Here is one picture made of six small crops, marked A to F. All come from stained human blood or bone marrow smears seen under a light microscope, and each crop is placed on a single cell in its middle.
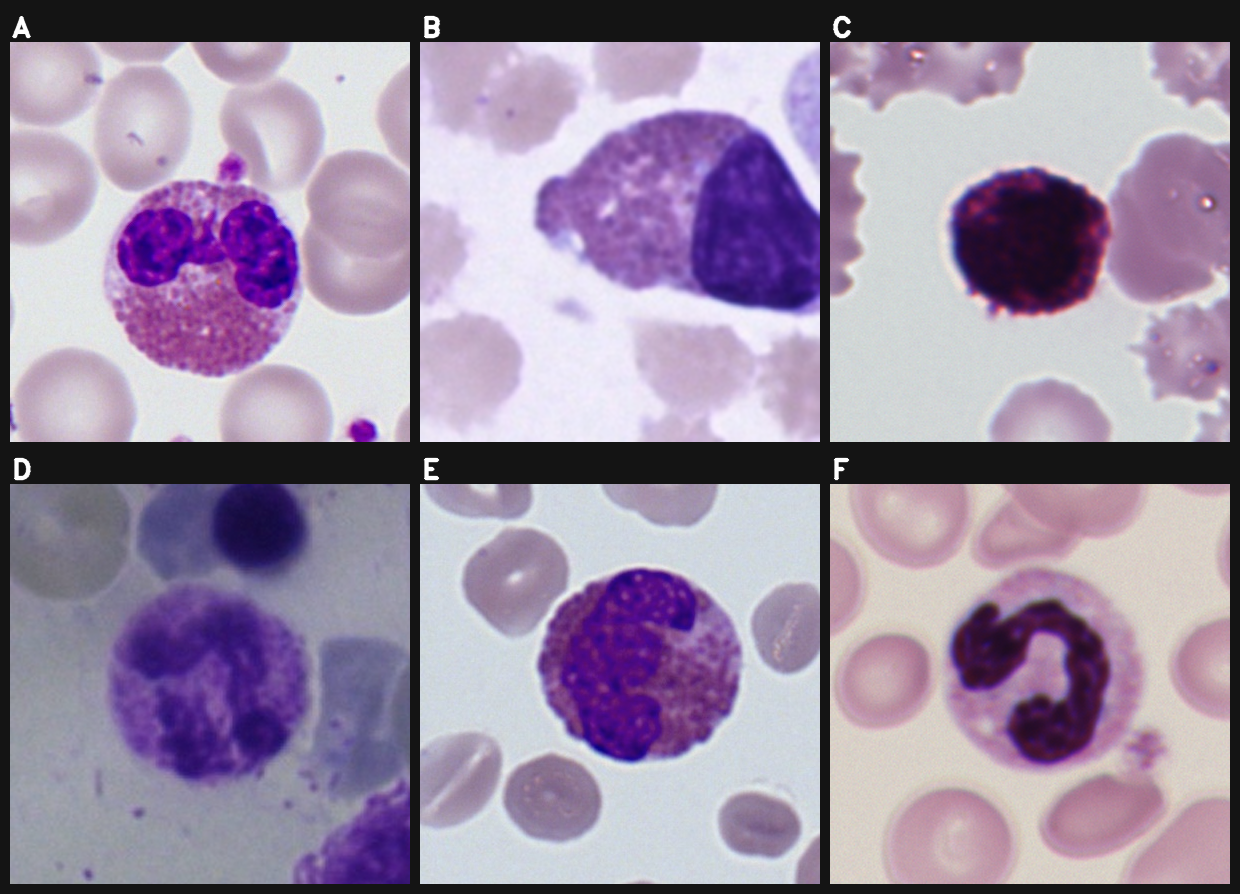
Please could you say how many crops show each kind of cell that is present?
eosinophil: 3
segmented neutrophil: 2
basophil: 1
